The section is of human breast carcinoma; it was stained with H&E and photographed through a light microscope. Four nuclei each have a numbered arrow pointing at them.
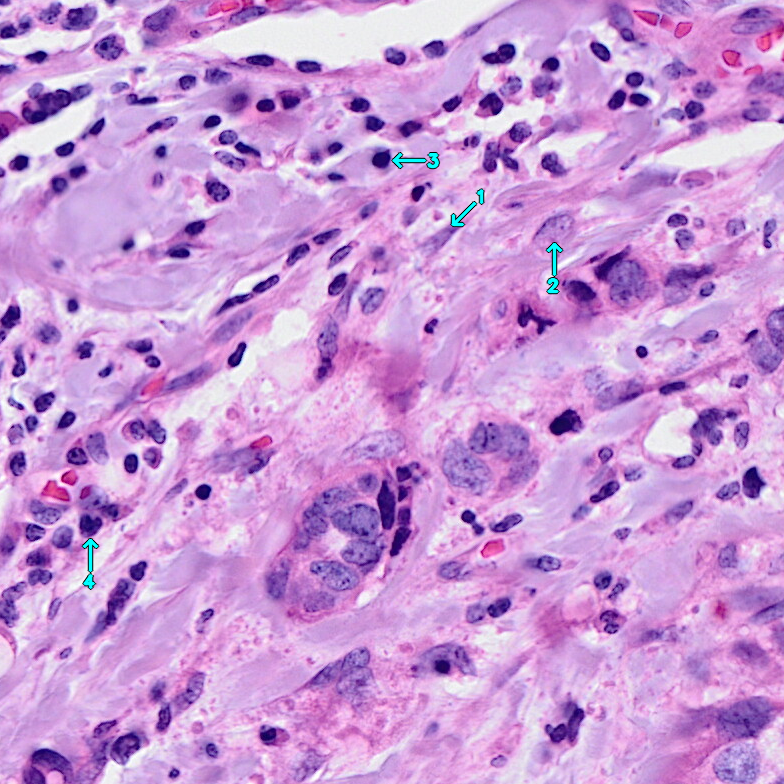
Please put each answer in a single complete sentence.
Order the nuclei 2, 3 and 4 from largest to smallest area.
By area, largest first, they run 2, 4, 3.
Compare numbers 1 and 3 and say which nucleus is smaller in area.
Nucleus 3 is the smaller one; nucleus 1 covers about 2 times its area.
